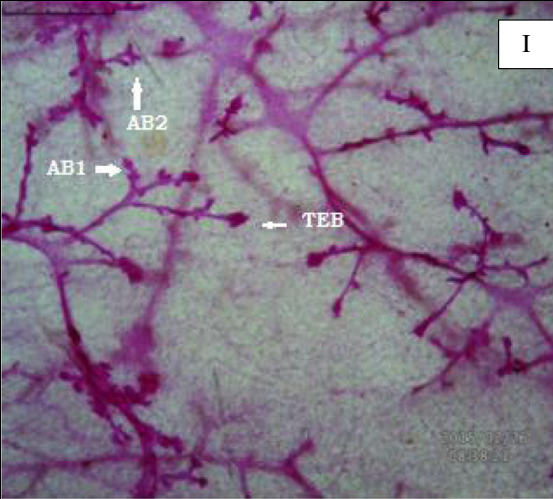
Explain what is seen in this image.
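Whole mount of mammary gland showing a branching ductal tree stained magenta against a pale fatty stroma. Thick main ducts divide into progressively thinner side branches. The branches end in small bulbous or club-shaped buds. The branching is fairly open, with wide pale spaces between ducts.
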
